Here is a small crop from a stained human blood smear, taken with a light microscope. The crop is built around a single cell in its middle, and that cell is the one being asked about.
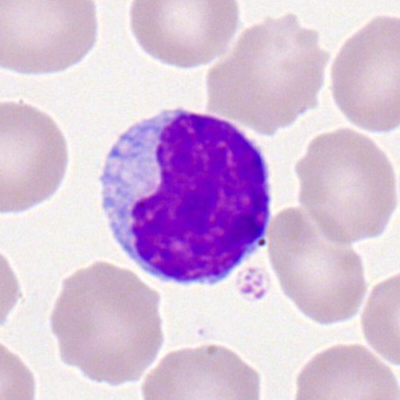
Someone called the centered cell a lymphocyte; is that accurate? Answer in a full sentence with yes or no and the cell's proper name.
Yes, the cell right in the middle is a lymphocyte.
